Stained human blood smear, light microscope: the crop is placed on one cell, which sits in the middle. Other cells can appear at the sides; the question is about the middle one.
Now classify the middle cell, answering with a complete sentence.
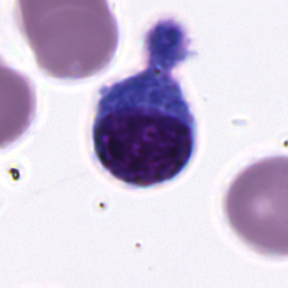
The identification for the central cell is a plasma cell.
